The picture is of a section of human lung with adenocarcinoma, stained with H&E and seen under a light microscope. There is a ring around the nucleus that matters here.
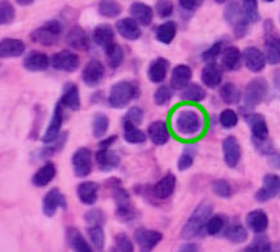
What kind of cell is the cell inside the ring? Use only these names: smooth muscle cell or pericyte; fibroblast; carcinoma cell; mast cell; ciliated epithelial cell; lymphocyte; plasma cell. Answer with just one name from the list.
lymphocyte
